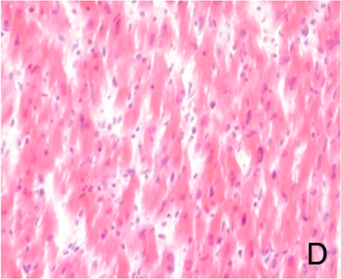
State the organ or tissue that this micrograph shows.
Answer: Cardiac tissue.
